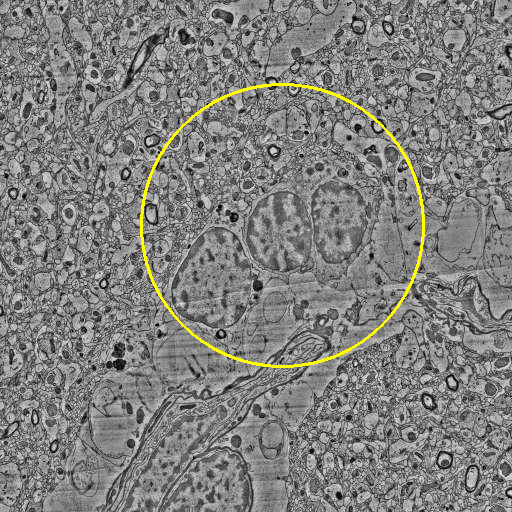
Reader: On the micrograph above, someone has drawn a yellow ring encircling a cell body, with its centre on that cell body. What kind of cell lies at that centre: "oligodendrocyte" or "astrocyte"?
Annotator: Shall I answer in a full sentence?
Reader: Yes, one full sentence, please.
Here an oligodendrocyte sits at the centre of the yellow ring drawn on the micrograph.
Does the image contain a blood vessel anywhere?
Yes, there is a blood vessel.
